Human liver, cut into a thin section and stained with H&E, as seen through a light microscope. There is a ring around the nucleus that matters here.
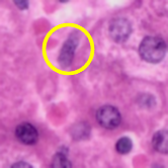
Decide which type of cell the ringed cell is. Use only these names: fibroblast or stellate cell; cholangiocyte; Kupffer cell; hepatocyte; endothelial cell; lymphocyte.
Kupffer cell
